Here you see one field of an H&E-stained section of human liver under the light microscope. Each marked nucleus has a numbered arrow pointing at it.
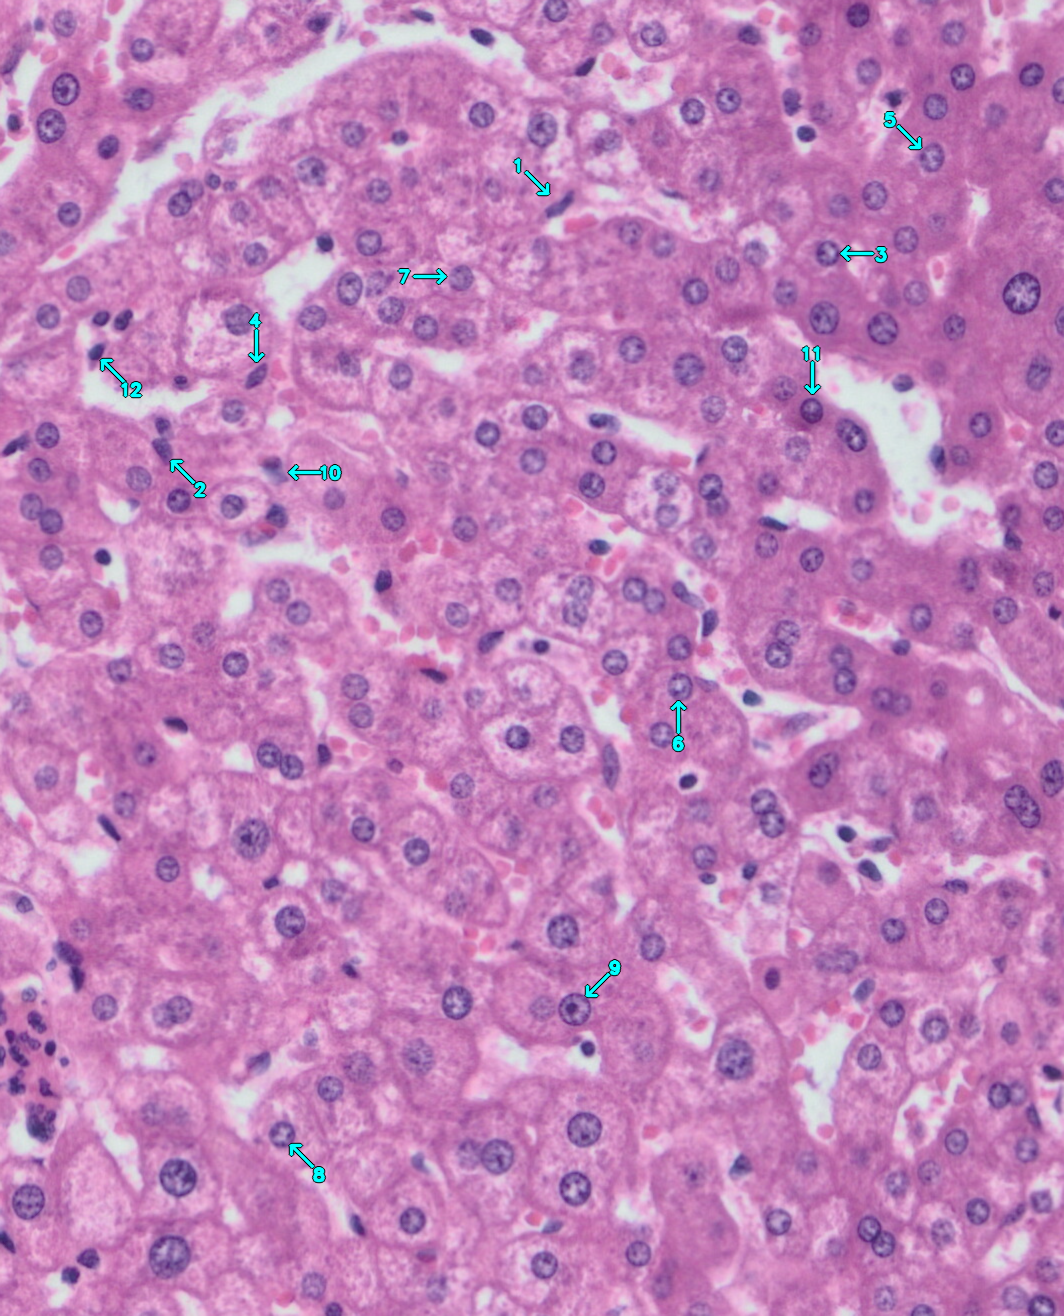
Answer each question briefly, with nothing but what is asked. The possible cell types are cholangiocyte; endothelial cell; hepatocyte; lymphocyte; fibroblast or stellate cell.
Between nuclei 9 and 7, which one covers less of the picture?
7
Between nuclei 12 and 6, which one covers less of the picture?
12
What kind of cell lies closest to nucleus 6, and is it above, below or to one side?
an endothelial cell to the right of nucleus 6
